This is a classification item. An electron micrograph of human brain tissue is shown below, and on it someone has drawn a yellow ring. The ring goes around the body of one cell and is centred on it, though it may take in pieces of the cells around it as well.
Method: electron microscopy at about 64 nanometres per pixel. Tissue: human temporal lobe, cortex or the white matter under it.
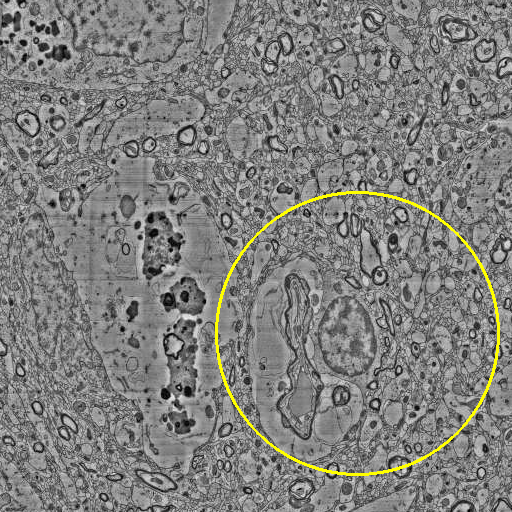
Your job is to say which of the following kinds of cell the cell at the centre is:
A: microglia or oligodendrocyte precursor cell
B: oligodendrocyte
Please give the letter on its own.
B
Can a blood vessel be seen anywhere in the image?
Yes, there is a blood vessel in the image.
